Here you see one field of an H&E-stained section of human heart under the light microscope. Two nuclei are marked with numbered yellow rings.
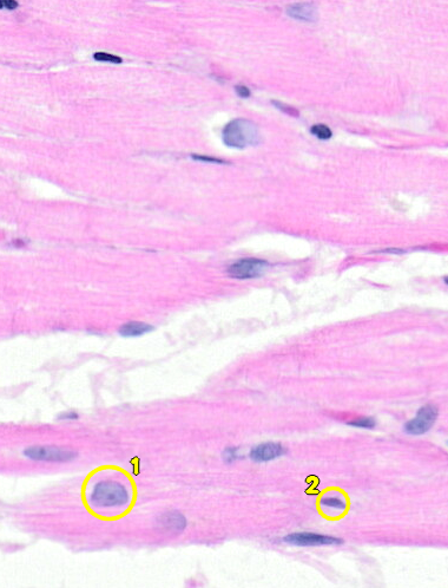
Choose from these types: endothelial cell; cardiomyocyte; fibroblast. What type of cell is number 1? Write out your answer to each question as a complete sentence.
The cell that bears the number 1 is a cardiomyocyte.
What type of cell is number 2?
Identified by the number 2, the cell is an endothelial cell.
